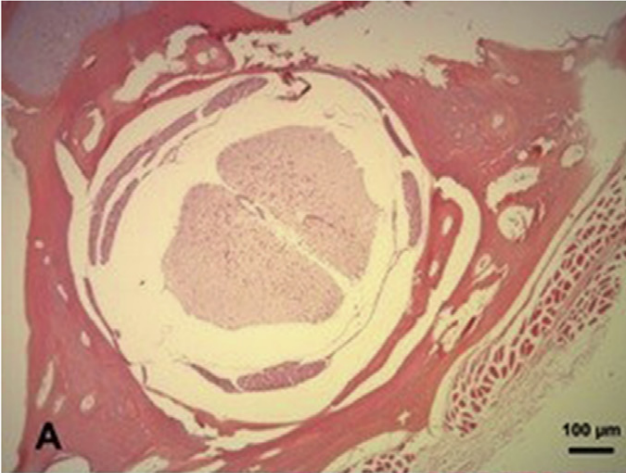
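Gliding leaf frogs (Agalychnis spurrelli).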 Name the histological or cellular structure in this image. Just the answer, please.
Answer: Vertebral foramen.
